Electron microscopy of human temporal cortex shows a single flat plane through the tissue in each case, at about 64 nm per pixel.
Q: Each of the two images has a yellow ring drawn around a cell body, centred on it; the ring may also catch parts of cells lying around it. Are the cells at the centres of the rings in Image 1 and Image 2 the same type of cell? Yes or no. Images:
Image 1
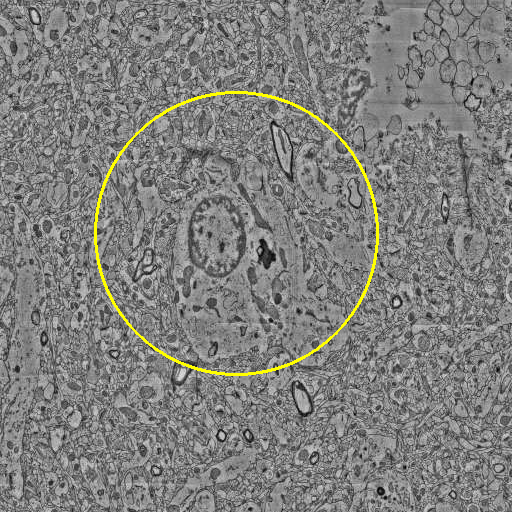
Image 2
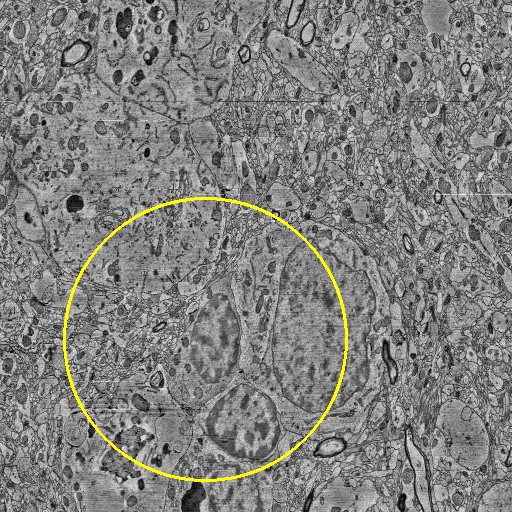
yes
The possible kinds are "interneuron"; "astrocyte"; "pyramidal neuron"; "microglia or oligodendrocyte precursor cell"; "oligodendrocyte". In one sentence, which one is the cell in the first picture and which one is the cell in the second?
Each of the two rings is centred on an astrocyte.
